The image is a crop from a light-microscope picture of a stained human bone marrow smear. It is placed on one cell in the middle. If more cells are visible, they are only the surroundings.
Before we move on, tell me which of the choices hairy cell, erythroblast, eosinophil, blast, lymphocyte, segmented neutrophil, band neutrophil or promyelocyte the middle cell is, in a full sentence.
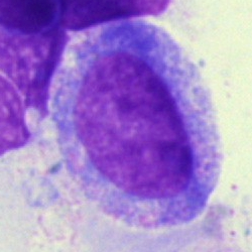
As for the cell in the middle, it is a promyelocyte.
